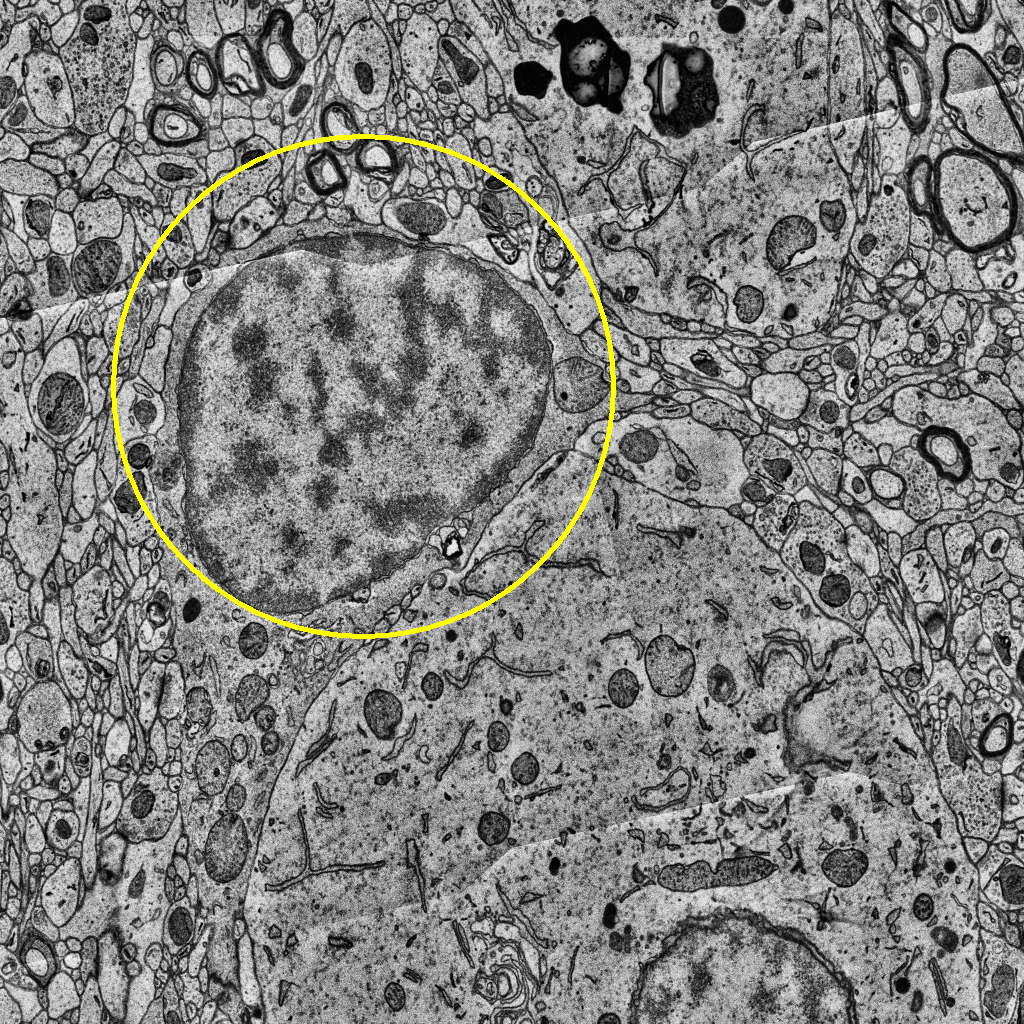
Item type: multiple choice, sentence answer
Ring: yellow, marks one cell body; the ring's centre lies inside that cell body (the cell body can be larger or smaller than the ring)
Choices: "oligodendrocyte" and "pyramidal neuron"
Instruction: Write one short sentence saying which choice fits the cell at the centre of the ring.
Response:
The centre of this ring lies on an oligodendrocyte.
